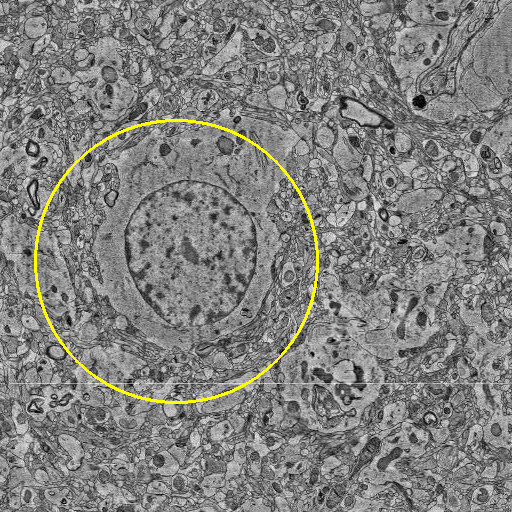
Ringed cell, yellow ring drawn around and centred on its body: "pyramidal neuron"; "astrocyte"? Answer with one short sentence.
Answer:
This ringed cell is an astrocyte.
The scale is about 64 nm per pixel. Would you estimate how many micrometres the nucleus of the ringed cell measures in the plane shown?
In this plane, about 10 micrometres in length and 8 in width.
